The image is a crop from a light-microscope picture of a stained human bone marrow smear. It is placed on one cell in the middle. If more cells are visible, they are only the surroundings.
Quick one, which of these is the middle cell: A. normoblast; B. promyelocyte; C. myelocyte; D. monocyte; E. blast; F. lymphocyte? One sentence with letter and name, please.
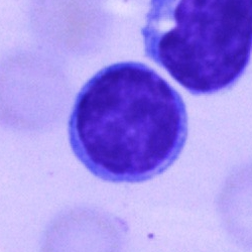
Option F correctly names the cell in the middle as a lymphocyte.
